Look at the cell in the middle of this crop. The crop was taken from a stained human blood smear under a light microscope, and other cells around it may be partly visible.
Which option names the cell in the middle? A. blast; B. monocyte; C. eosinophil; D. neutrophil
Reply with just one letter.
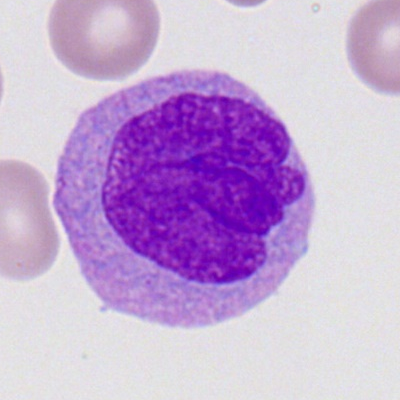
A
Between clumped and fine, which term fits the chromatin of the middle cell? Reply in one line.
No coarse chromatin clumps are present; the pattern is fine.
